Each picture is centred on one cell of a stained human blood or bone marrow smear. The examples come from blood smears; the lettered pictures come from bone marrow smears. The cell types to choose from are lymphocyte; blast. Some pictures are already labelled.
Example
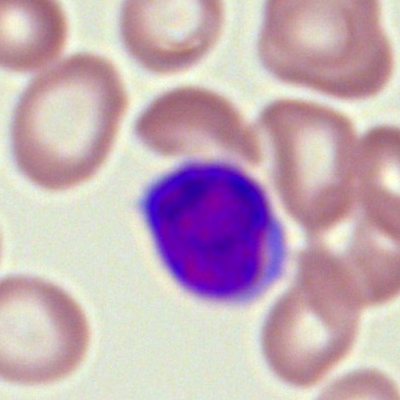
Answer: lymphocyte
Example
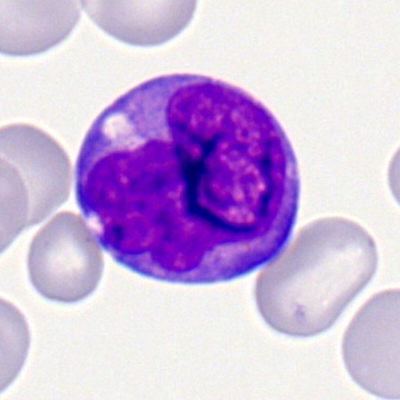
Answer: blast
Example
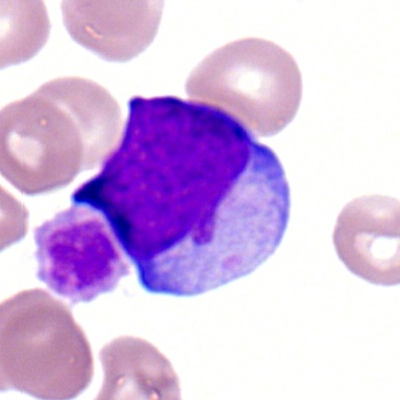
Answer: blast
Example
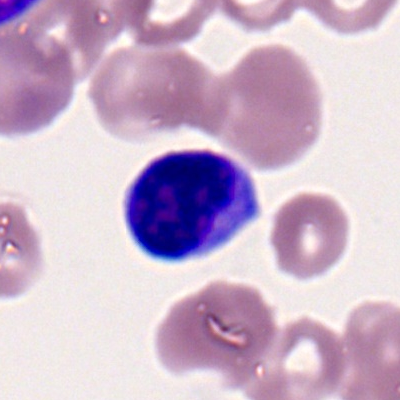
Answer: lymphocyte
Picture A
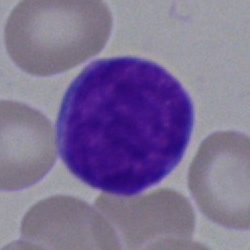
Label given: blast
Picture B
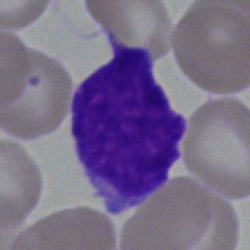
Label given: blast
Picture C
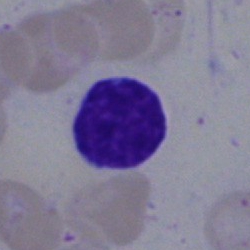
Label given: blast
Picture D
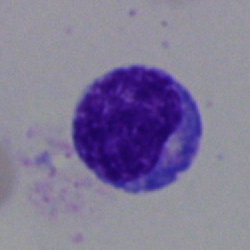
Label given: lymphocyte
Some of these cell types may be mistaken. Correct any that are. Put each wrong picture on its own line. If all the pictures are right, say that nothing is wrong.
C: change blast to lymphocyte
D: change lymphocyte to blast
